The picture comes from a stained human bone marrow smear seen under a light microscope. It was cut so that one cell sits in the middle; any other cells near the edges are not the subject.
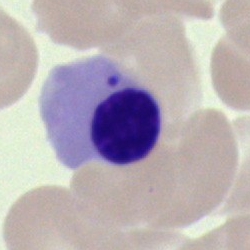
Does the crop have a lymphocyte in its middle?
no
